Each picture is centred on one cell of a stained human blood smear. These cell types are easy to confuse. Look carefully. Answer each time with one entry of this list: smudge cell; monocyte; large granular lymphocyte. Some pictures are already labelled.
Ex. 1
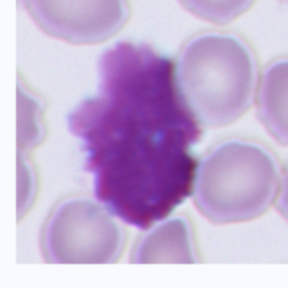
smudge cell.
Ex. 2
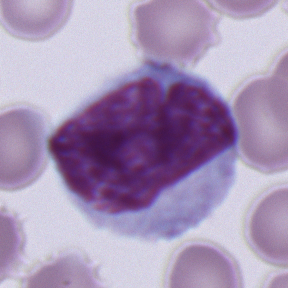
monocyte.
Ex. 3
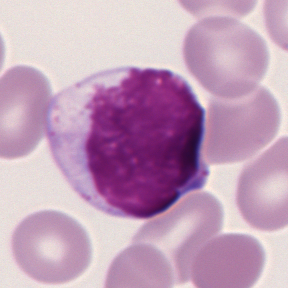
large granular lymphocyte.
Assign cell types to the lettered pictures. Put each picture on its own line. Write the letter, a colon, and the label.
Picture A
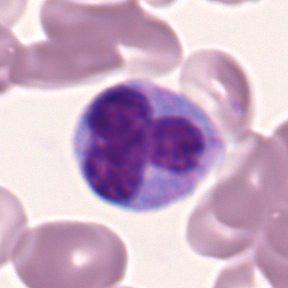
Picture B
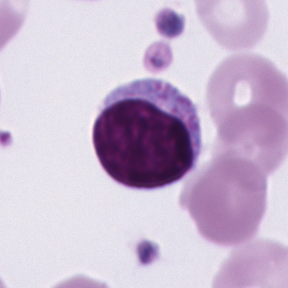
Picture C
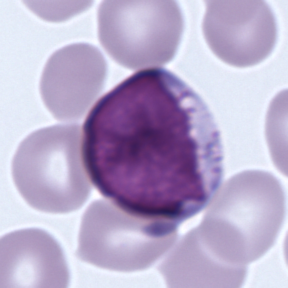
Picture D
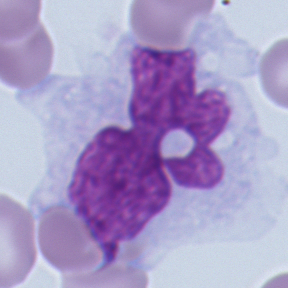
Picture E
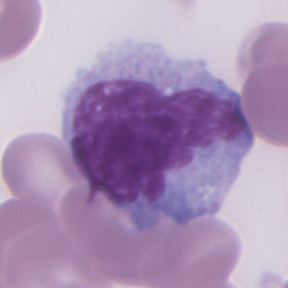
A: monocyte.
B: large granular lymphocyte.
C: large granular lymphocyte.
D: monocyte.
E: monocyte.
